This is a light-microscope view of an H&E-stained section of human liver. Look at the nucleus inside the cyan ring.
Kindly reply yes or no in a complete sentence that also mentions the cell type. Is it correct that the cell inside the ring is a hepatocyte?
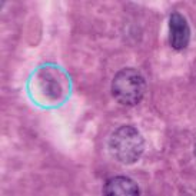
No, the cell inside the ring does not represent a hepatocyte; it represents a Kupffer cell.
